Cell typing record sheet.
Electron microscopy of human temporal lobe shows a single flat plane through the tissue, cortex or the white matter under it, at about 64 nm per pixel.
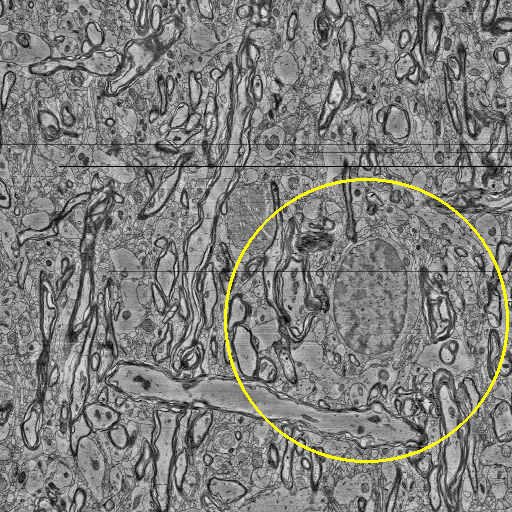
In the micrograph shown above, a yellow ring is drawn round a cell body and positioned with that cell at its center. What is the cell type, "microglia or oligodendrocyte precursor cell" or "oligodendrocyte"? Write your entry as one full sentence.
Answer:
The cell body at the center of the ring belongs to an oligodendrocyte.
